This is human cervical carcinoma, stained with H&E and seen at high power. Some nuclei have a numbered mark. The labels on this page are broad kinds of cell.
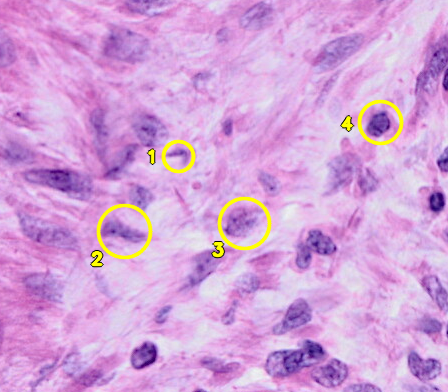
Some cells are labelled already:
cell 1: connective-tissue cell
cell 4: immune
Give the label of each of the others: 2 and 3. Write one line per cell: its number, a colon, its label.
2: connective-tissue cell
3: connective-tissue cell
